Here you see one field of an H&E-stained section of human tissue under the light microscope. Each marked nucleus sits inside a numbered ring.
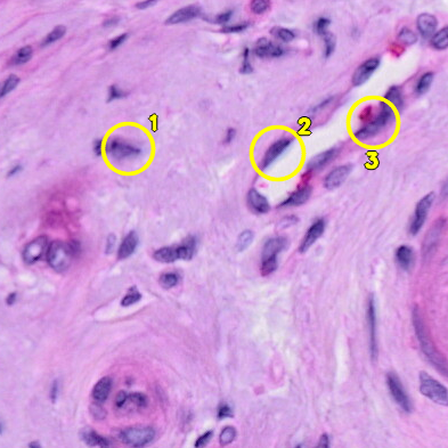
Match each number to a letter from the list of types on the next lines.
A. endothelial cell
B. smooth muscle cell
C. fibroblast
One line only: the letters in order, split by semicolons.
C; A; A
